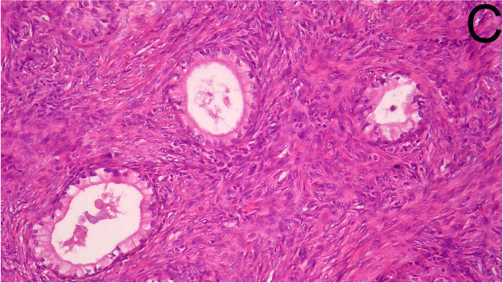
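Heterotypic glands lie scattered in the ovary, each a small round or oval gland set within dense stroma. The glands are lined by a single layer of columnar cells with pale, clear cytoplasm and nuclei near the base. Their lumens contain small amounts of pink and dark debris. The surrounding stroma is densely cellular and intensely pink, made of crowded spindle cells running in whorls and streams. The glands are widely spaced, with much more stroma than epithelium in the field.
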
